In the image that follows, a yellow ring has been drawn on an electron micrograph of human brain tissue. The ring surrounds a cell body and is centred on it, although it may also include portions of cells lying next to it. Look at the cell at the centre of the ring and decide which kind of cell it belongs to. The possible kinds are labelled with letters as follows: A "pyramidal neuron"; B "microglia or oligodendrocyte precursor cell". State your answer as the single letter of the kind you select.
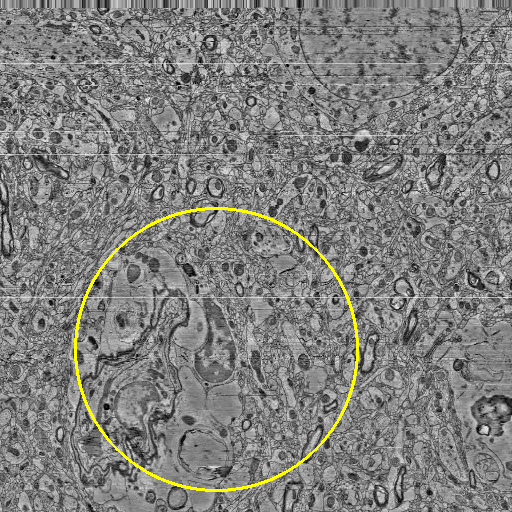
B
